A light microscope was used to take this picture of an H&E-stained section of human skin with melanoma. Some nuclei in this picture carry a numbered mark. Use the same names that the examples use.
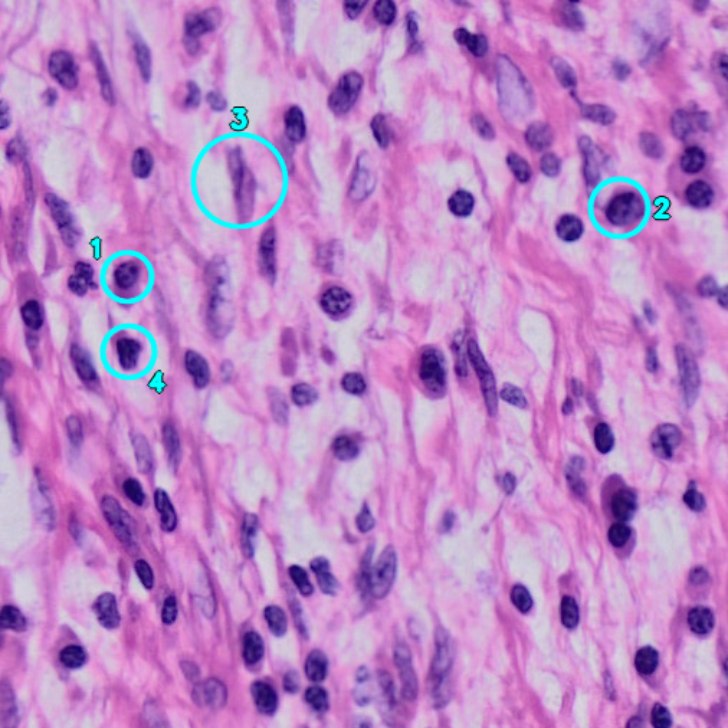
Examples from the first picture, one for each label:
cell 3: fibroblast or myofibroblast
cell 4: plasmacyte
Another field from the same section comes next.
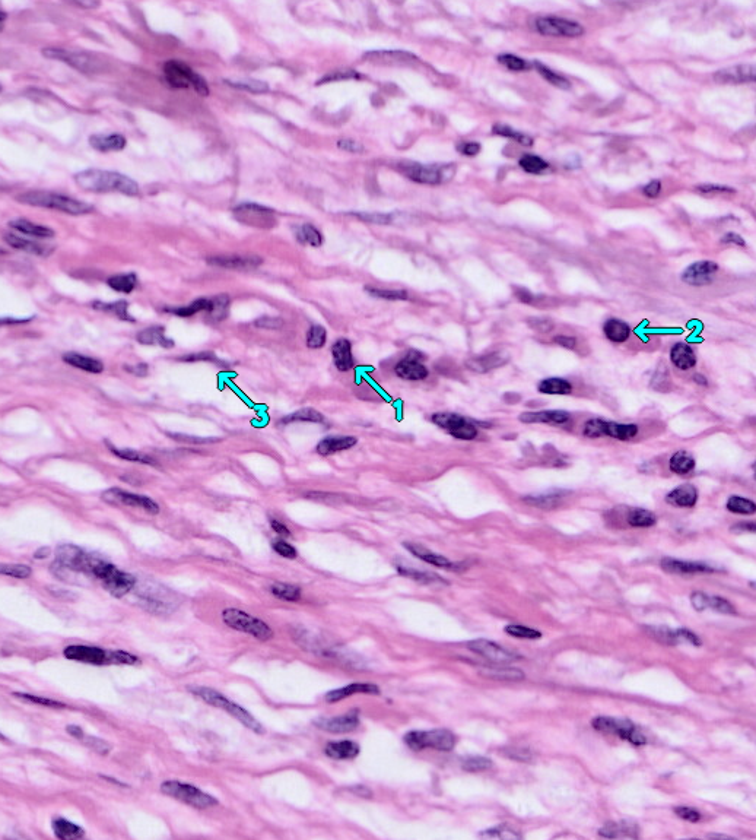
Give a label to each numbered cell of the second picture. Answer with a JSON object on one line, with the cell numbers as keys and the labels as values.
{"1": "plasmacyte", "2": "plasmacyte", "3": "fibroblast or myofibroblast"}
